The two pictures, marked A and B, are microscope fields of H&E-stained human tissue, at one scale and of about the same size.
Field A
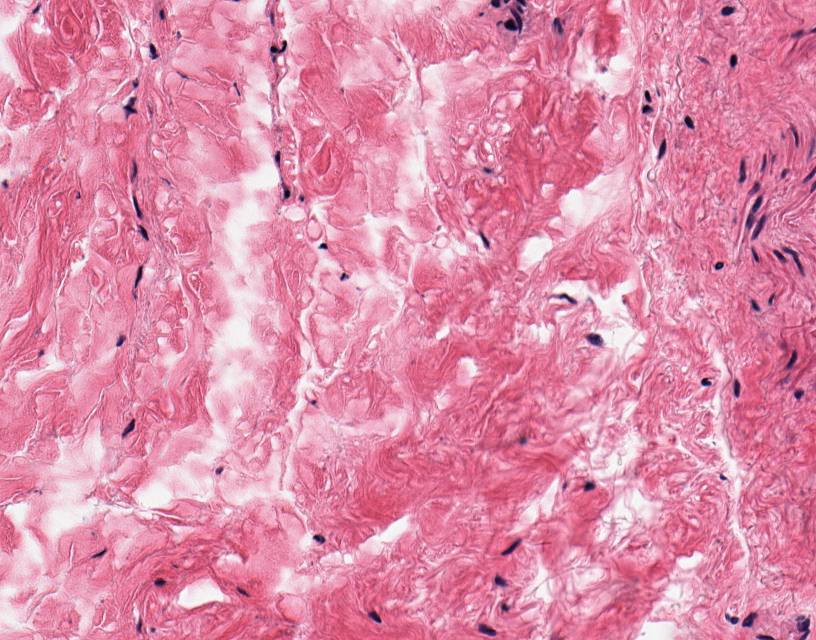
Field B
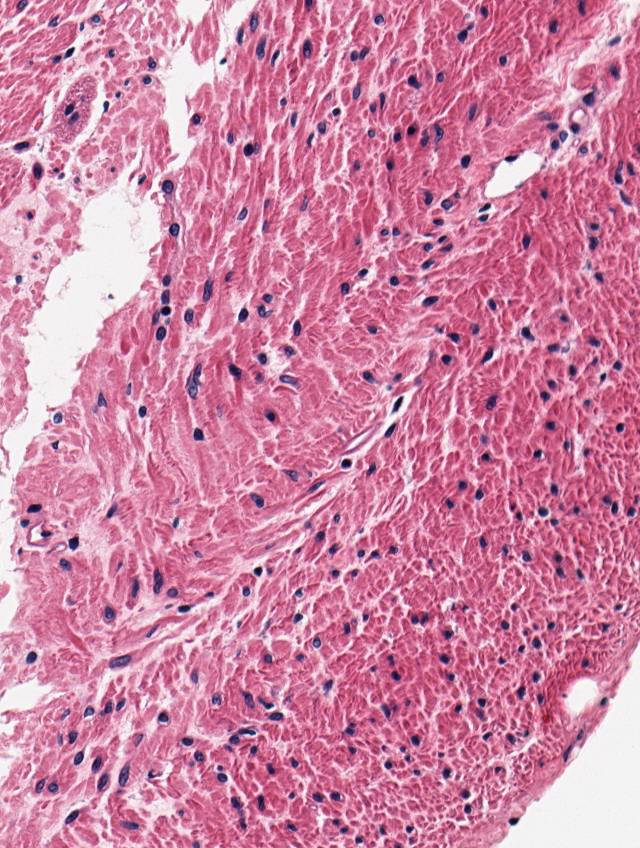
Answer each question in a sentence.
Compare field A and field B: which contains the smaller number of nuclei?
Fewer nuclei lie in field A than in field B.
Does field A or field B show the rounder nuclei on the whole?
On the whole the nuclei of field B are rounder than those of field A.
